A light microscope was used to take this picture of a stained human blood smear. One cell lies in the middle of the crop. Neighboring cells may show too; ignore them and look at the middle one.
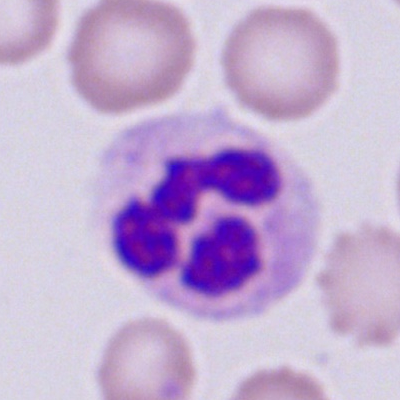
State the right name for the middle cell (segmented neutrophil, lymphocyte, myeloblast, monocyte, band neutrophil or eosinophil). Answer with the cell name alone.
segmented neutrophil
